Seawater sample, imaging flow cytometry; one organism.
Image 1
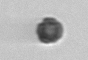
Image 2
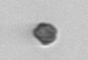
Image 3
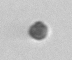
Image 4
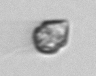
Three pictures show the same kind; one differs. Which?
Picture 4: Scrippsiella, while the others are Gephyrocapsa huxleyi.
